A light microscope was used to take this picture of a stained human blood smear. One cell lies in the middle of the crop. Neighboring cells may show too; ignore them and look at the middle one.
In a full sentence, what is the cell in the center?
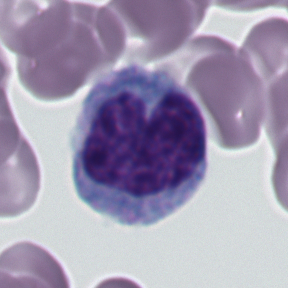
In the central position of this crop, the cell is a monocyte.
